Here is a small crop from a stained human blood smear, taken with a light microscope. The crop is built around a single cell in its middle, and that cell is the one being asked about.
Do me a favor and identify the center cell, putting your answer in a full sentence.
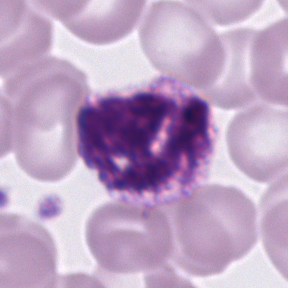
In the central position of this crop, the cell is a basophil.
